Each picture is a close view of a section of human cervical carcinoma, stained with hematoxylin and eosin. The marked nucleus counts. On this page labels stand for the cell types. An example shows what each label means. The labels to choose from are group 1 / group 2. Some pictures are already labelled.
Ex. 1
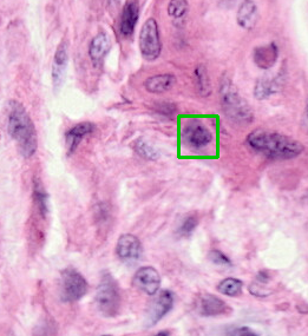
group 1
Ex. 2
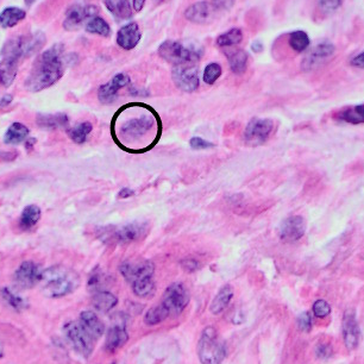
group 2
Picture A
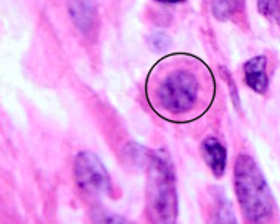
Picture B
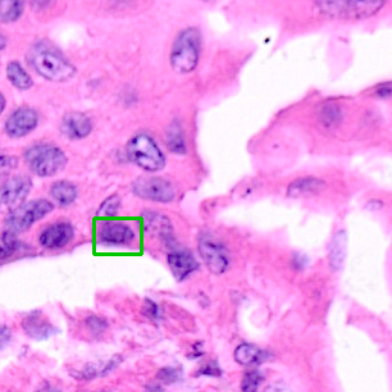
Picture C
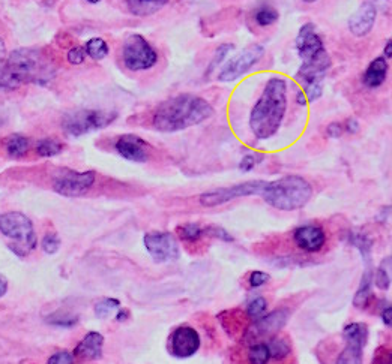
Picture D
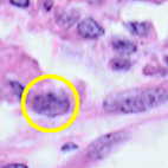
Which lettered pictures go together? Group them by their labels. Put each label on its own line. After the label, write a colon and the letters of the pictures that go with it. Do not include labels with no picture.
group 1: B
group 2: A, C, D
